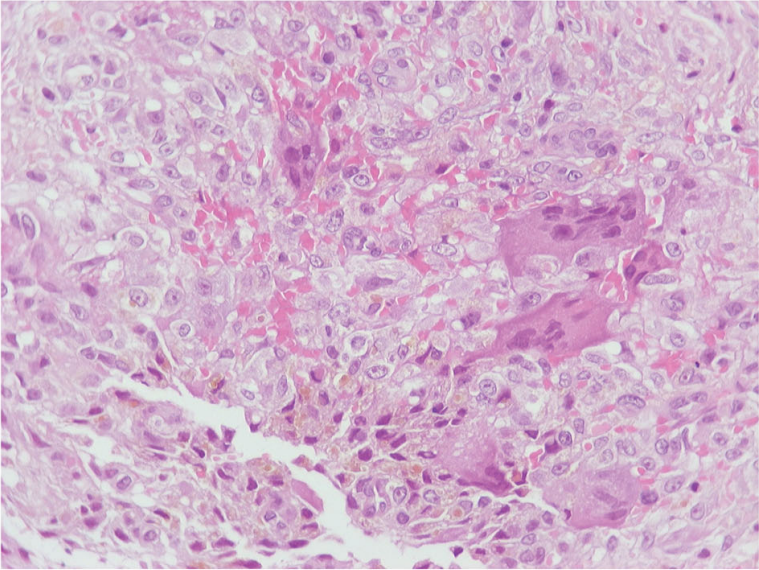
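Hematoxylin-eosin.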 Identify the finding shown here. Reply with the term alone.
hemosiderin deposition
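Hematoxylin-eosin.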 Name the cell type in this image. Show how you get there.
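Several very large cells with abundant pink cytoplasm. These large cells hold multiple nuclei clustered together. They lie scattered among smaller mononuclear cells.
Conclusion: osteoclast-like giant cells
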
